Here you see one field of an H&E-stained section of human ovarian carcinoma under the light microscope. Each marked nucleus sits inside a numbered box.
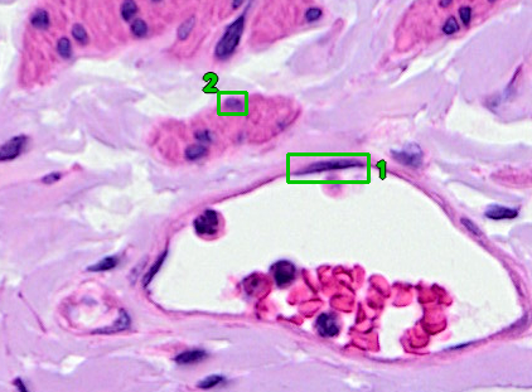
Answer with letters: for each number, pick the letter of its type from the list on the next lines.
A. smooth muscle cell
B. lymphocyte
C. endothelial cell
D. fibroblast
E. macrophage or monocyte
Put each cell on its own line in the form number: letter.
1: C
2: A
